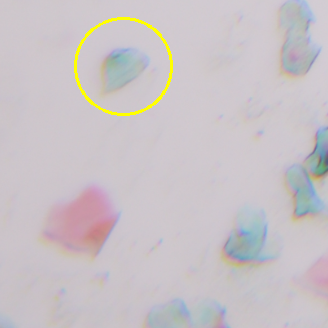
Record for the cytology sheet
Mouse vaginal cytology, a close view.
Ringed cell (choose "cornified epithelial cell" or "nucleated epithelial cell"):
cornified epithelial cell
